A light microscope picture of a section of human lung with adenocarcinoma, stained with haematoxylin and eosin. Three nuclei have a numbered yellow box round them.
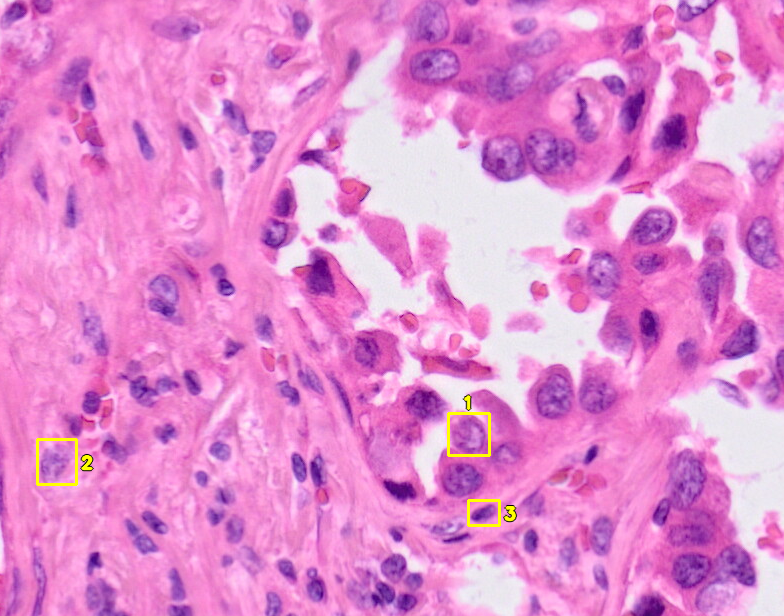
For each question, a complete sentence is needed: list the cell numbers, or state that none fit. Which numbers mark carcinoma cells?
There is only one numbered cell that is a carcinoma cell, and it is cell 1.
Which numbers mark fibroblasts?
None but cell 2 among the numbered cells is a fibroblast.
